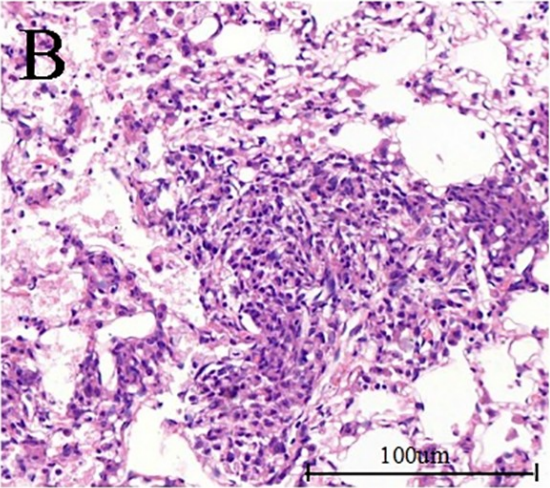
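Lung tissue in which the normal fine alveolar pattern is largely replaced by dense, cellular tissue. A crowded focus of cells with dark purple, partly elongated nuclei, arranged in a whorled pattern, occupies the centre of the field. Pale pink, loosely textured material fills some spaces at the left.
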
